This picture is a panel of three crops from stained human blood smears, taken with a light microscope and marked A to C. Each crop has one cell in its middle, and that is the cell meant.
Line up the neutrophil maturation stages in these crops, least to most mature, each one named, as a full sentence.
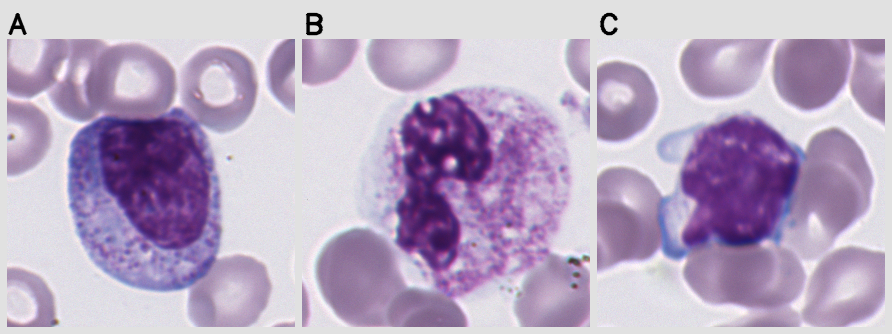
When lined up from least to most mature, the crops are crop C (a myeloblast), crop A (a promyelocyte) and crop B (a segmented neutrophil).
